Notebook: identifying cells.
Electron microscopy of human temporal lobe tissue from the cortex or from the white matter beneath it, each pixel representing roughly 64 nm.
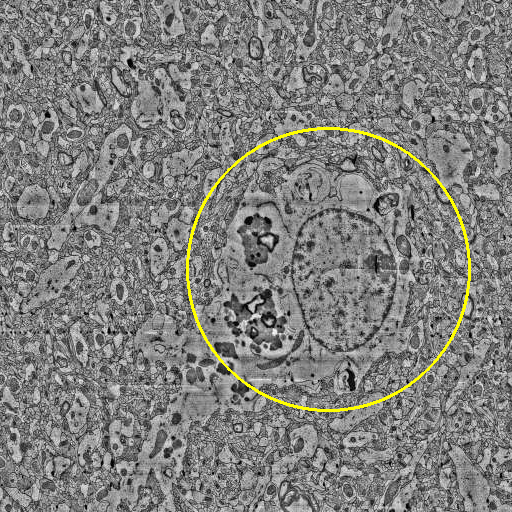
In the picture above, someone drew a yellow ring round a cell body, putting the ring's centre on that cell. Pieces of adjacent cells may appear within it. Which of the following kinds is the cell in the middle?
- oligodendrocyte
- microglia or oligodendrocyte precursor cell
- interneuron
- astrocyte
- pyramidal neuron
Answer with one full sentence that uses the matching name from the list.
In this picture, the yellow ring is centred on the body of an astrocyte.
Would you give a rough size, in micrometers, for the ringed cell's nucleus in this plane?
The nucleus comes to roughly 9 by 7 micrometres in this plane.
